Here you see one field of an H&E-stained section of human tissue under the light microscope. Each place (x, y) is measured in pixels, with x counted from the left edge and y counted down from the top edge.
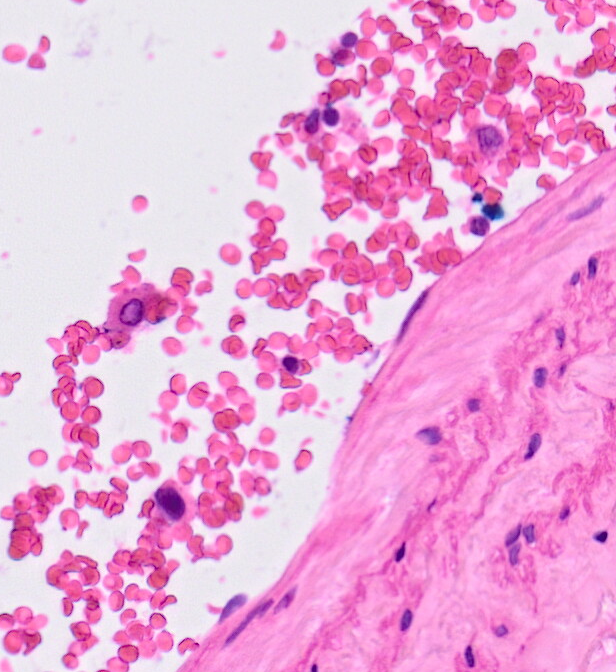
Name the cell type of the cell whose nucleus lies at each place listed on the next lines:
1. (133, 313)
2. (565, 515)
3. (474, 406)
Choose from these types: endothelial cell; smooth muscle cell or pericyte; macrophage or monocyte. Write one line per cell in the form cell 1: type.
cell 1: macrophage or monocyte
cell 2: smooth muscle cell or pericyte
cell 3: smooth muscle cell or pericyte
